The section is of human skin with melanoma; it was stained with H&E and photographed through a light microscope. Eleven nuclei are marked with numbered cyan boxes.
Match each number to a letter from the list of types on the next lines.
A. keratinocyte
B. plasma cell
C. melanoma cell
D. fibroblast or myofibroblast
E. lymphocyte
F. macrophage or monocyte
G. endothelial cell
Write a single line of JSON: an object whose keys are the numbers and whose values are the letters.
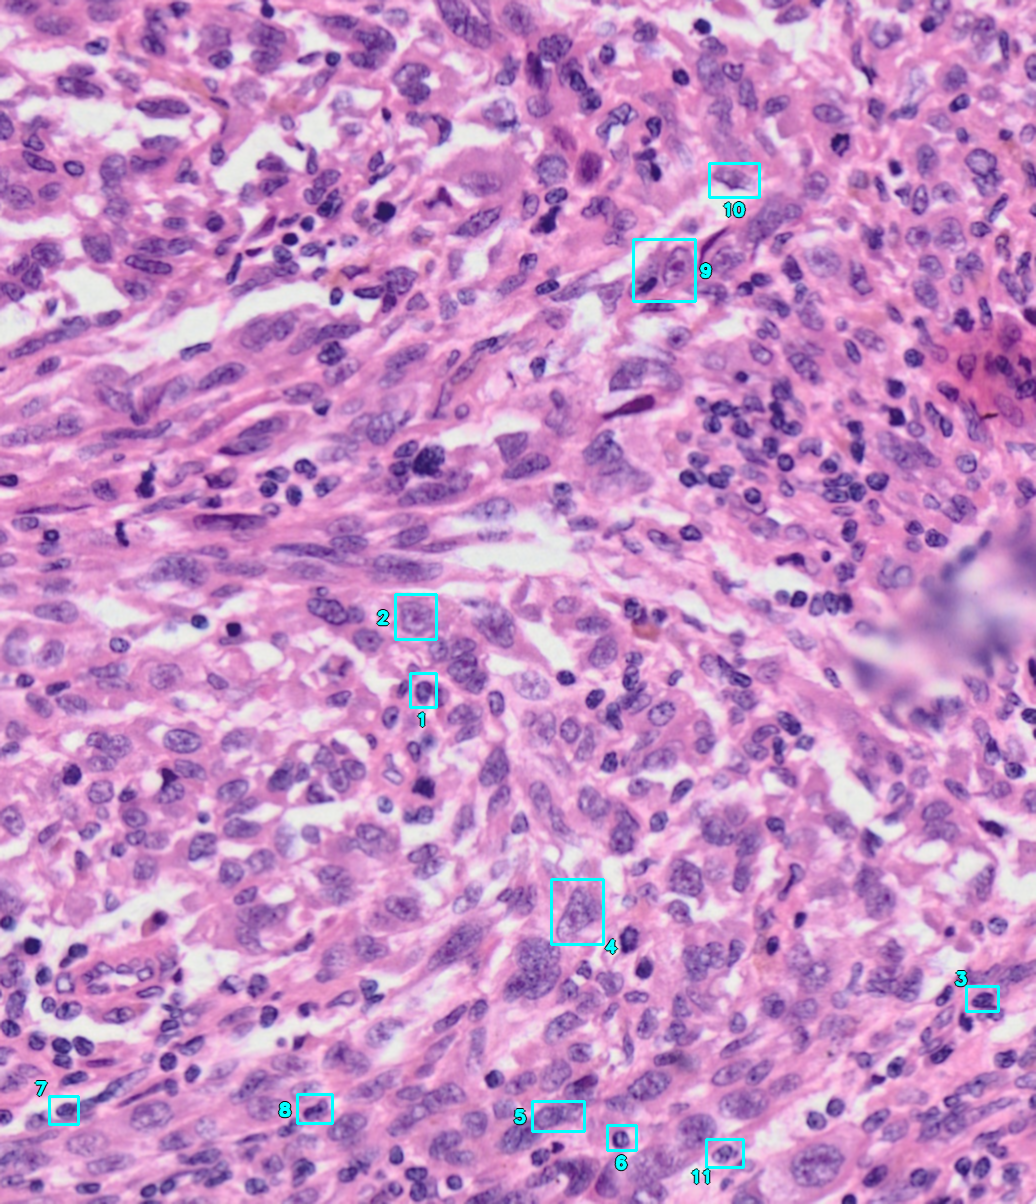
{"1": "E", "2": "C", "3": "E", "4": "C", "5": "C", "6": "E", "7": "E", "8": "E", "9": "C", "10": "C", "11": "E"}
